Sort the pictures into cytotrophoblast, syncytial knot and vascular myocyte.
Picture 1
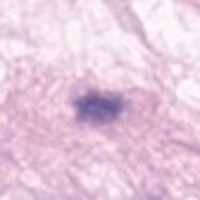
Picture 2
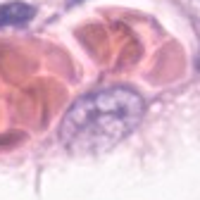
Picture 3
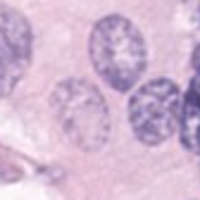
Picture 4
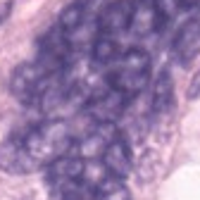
Vascular myocytes: 1
Cytotrophoblasts: 2, 3
Syncytial knots: 4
